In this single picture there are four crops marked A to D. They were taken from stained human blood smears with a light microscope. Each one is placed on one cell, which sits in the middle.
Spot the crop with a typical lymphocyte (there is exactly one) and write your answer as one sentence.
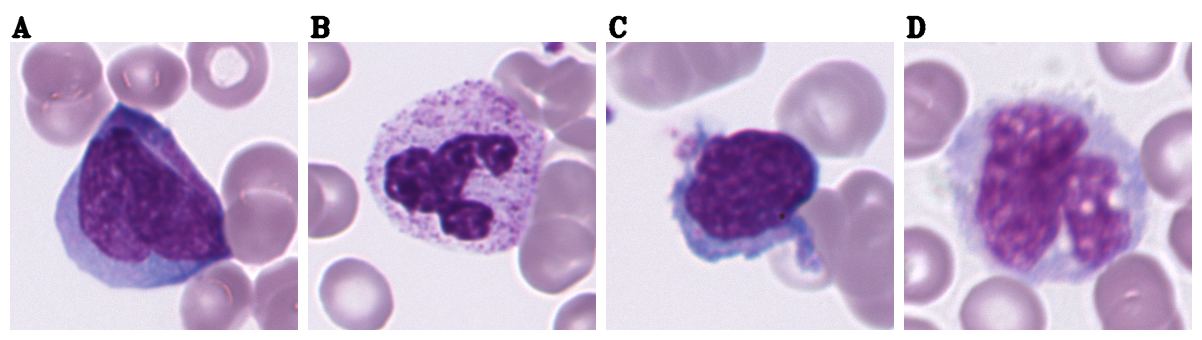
Of all the crops, crop C is the one showing a typical lymphocyte.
